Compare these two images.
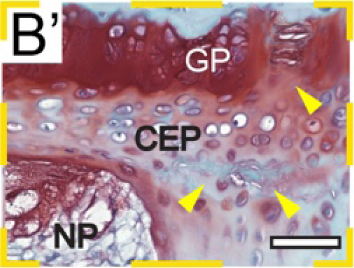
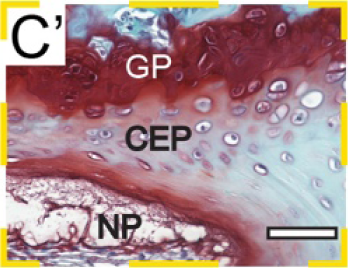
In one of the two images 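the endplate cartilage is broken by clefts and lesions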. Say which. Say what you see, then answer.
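Second image: the pale cartilage band between the red upper layer and the vacuolated tissue is continuous and evenly filled with cells. First image: the cartilage band shows gaps and breaks in its matrix.
Conclusion: the first image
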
